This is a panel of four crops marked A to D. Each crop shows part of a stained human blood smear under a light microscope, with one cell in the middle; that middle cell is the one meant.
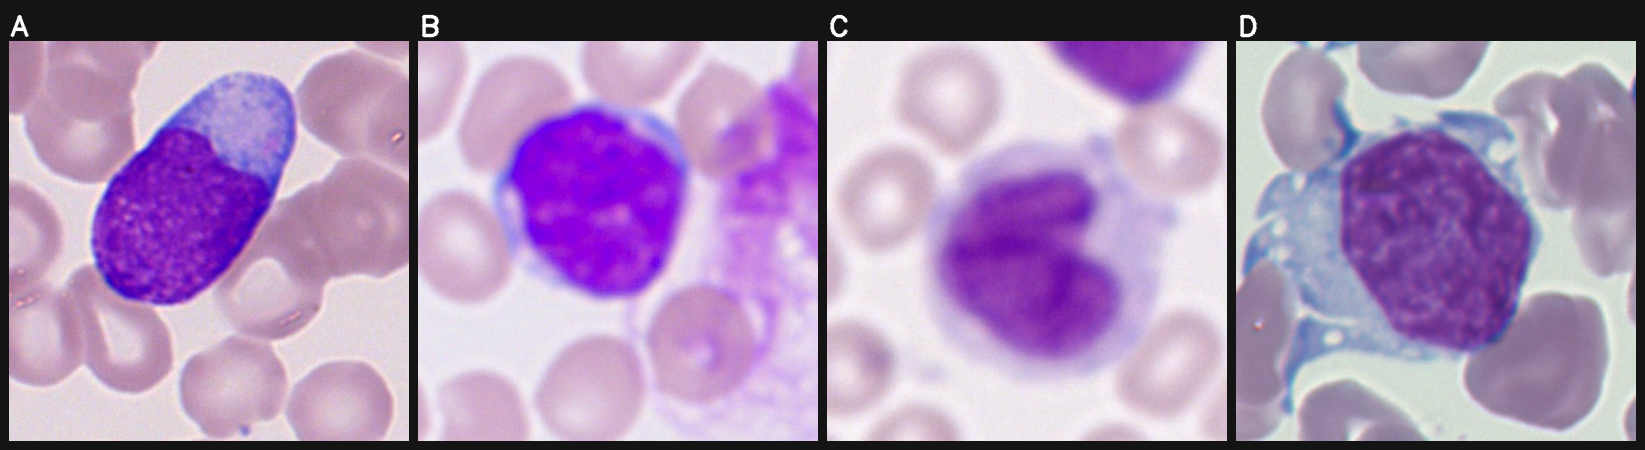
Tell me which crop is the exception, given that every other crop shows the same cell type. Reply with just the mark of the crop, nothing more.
C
